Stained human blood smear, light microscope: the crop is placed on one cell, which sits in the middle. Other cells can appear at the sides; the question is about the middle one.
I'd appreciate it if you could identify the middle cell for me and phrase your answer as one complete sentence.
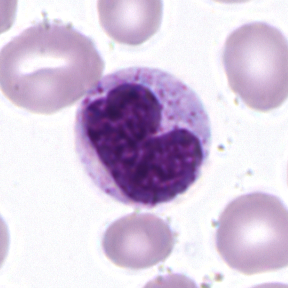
The cell at the heart of this crop is a band neutrophil.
